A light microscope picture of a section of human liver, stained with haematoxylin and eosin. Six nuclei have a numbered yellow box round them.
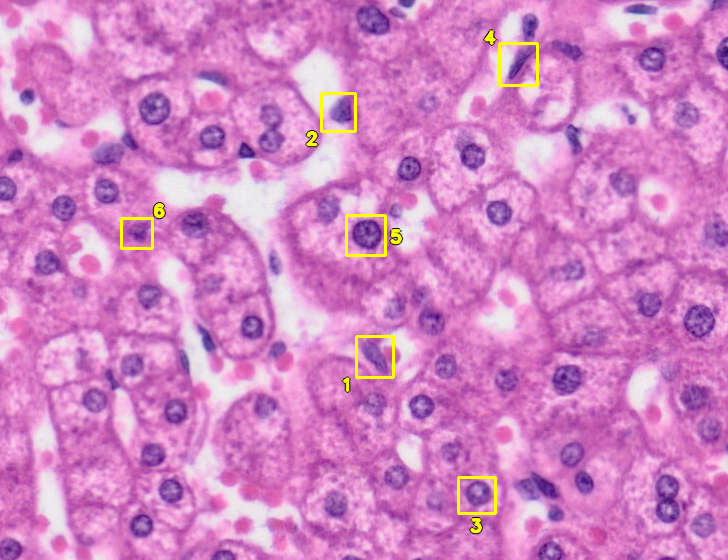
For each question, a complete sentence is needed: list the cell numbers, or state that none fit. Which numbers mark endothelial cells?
Cell number 2 alone is an endothelial cell; the rest are not.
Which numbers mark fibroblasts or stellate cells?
Among the numbered nuclei, only the one labelled 6 belongs to a fibroblast or stellate cell.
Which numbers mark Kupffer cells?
Within this tissue, the cells numbered 1 and 4 are Kupffer cells.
